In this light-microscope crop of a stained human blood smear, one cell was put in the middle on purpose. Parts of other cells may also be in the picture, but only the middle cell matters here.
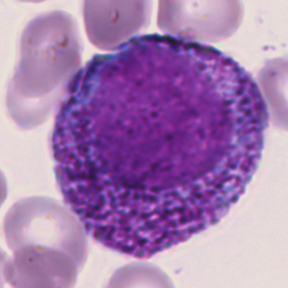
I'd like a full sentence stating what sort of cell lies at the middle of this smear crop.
The crop centres on a single cell, and that cell is a promyelocyte.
